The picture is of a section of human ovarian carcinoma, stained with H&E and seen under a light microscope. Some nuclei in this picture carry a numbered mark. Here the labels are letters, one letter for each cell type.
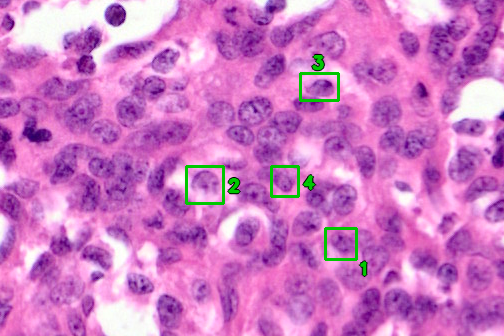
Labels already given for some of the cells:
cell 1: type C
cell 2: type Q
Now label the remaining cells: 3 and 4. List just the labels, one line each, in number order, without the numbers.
type Q
type Q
